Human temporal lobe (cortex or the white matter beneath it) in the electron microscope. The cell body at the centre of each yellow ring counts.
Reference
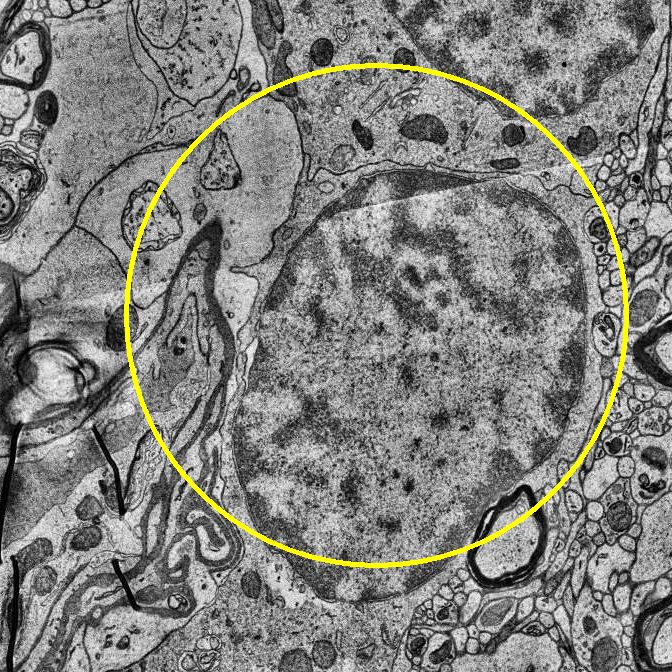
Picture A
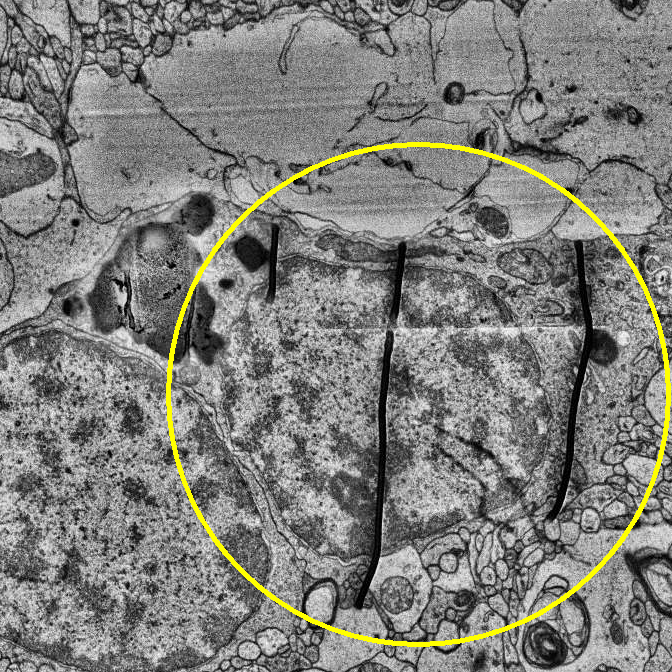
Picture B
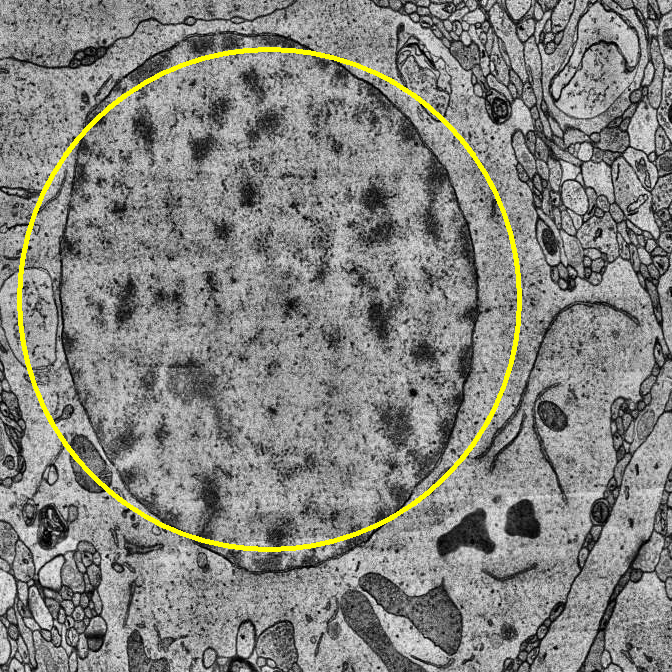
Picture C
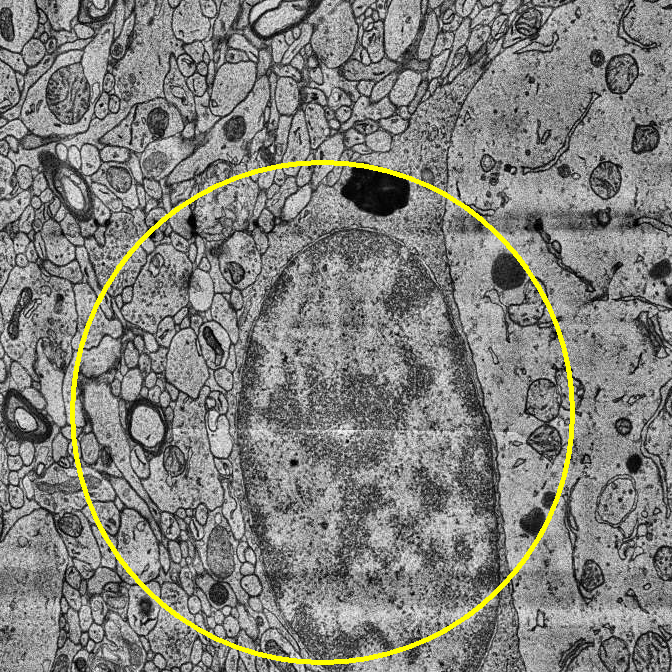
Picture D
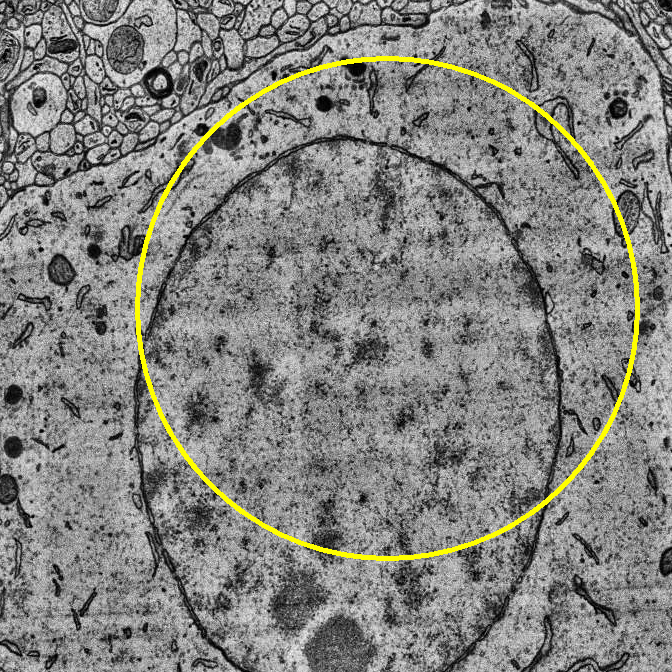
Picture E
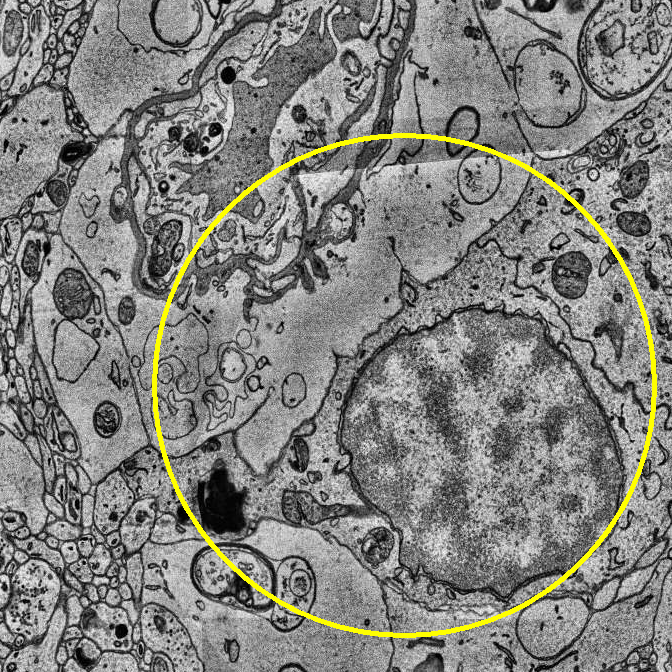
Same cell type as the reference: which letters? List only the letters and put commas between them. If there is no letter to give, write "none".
A, C, E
